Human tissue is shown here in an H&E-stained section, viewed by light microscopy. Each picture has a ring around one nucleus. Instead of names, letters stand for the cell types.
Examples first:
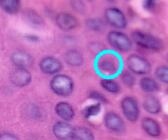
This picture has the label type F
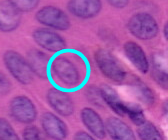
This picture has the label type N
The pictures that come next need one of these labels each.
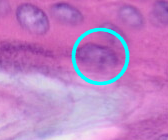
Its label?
type N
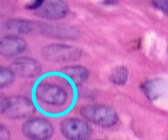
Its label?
type N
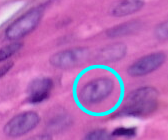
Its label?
type N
